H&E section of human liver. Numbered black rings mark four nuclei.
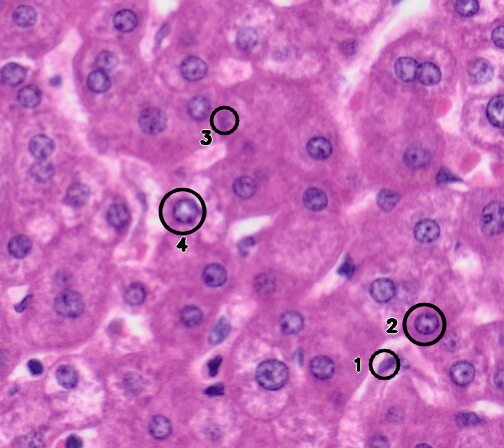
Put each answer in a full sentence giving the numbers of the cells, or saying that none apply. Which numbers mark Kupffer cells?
The nucleus labelled 1 alone belongs to a Kupffer cell; the other marked nuclei do not.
